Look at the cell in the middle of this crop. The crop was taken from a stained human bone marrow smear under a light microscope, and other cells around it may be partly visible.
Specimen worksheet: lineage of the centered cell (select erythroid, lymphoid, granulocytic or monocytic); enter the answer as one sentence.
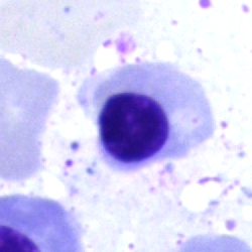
The central cell's lineage is erythroid.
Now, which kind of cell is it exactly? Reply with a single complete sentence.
Classified as an erythroblast is the cell in the middle of this crop.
